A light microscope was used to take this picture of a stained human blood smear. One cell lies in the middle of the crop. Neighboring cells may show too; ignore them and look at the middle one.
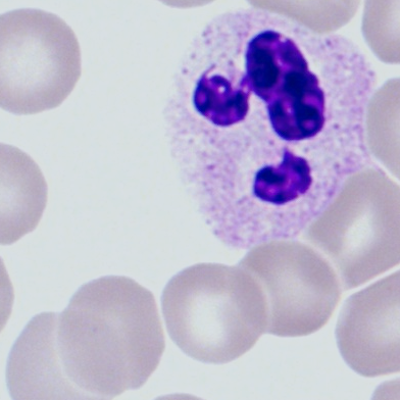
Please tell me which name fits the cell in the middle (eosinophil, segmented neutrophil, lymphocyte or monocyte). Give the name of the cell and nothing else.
segmented neutrophil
